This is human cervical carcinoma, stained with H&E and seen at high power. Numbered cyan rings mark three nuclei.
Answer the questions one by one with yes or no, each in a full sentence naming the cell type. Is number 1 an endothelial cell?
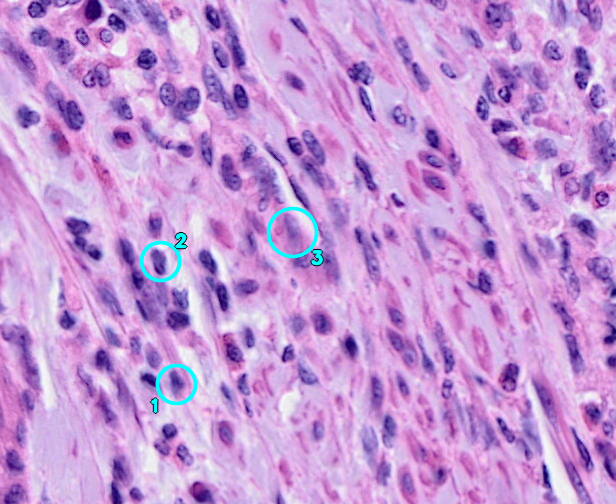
No, the cell at number 1 is a lymphocyte instead of an endothelial cell.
